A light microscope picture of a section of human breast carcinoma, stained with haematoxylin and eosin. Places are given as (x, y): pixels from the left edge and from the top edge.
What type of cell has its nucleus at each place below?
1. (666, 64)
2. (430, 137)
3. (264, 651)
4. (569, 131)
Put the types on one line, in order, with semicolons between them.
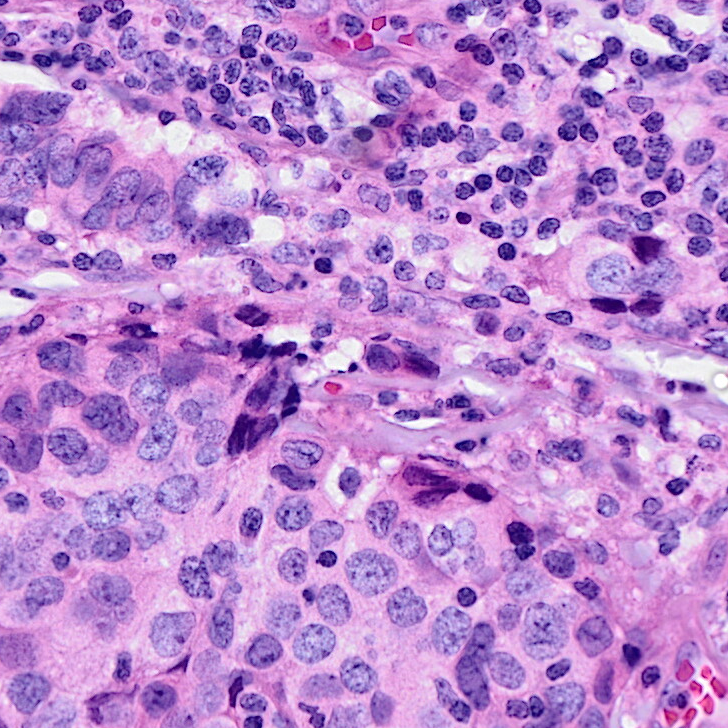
lymphocyte; lymphocyte; carcinoma cell; lymphocyte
